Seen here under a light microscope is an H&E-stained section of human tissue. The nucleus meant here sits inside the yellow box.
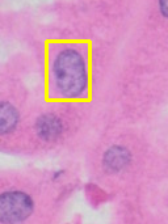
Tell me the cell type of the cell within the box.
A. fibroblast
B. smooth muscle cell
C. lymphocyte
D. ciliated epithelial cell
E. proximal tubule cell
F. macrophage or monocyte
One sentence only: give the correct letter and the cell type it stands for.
Option E gives the correct identity of the cell within the box, which is a proximal tubule cell.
